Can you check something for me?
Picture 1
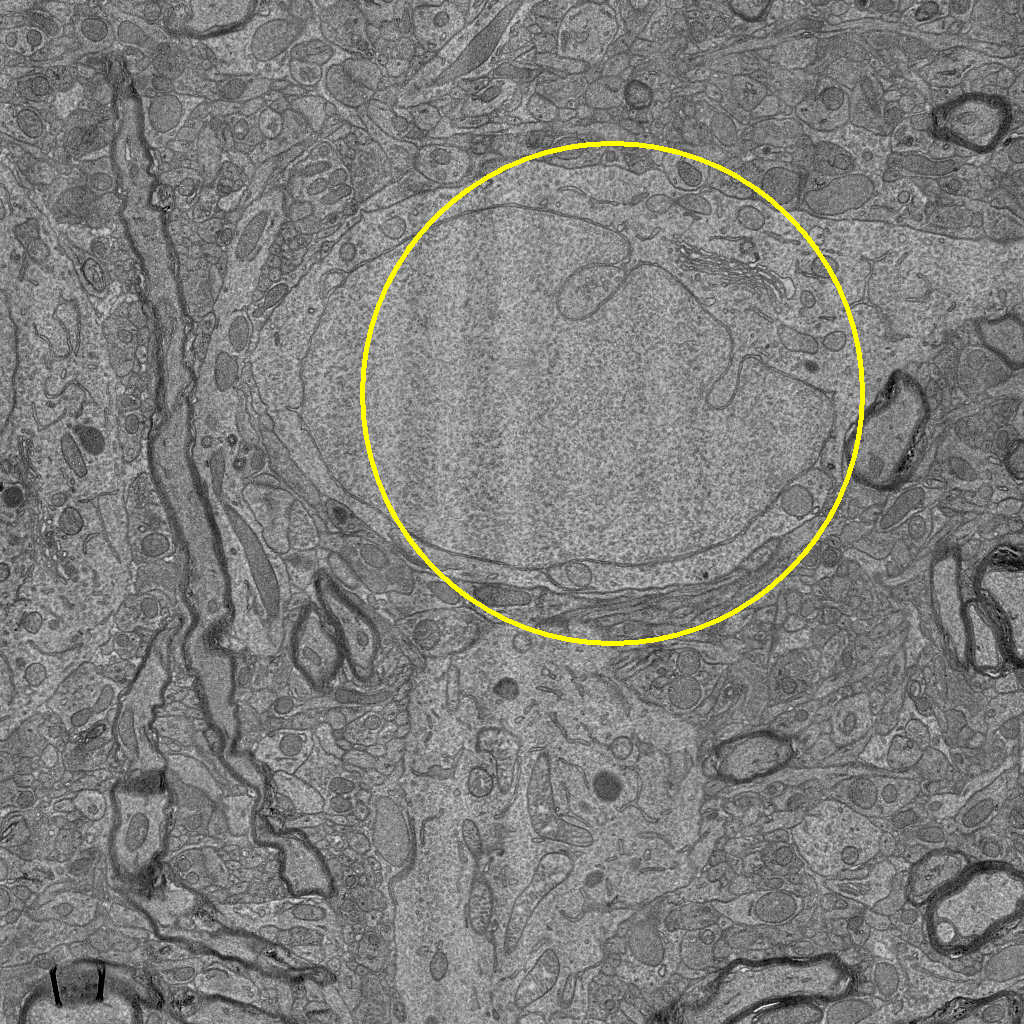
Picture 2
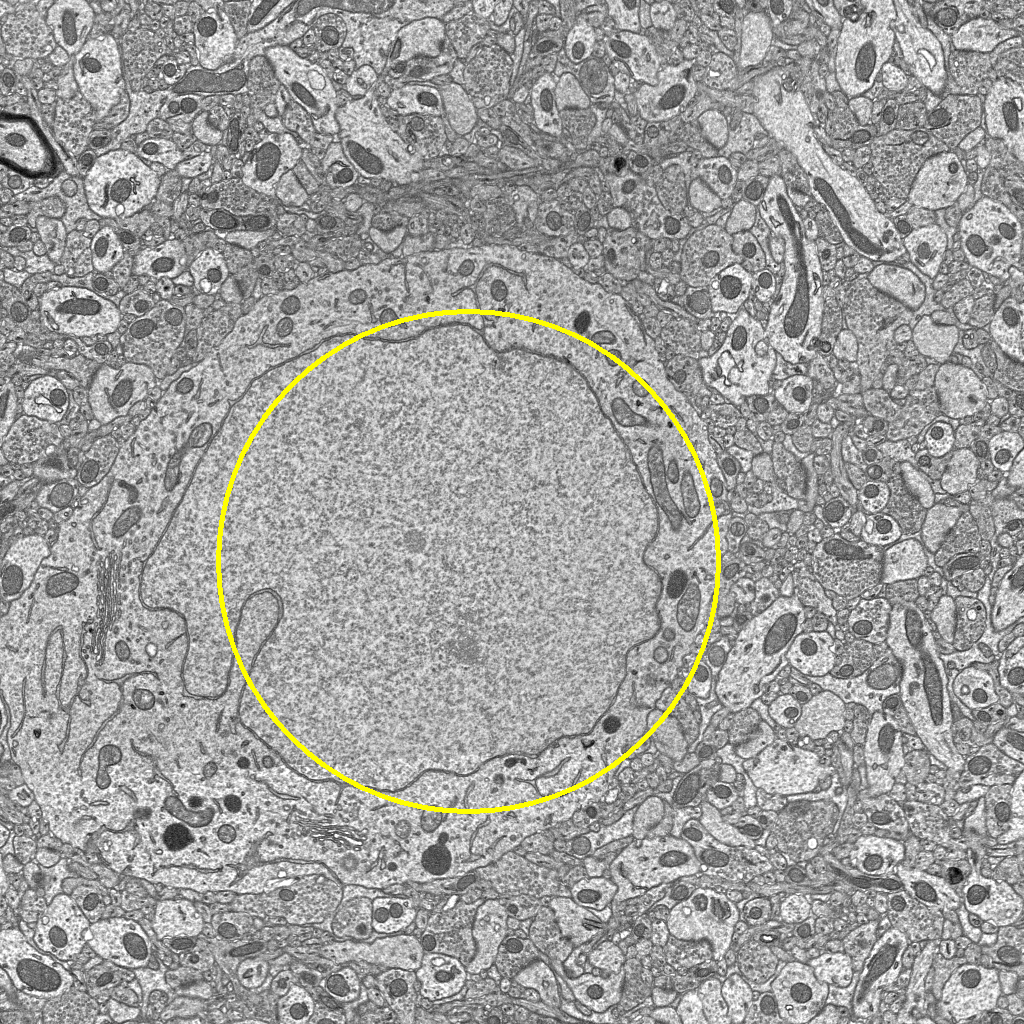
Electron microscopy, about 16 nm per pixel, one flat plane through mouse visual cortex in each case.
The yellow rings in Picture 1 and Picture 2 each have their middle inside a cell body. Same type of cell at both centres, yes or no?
yes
